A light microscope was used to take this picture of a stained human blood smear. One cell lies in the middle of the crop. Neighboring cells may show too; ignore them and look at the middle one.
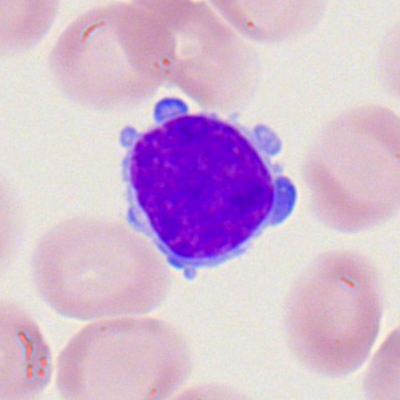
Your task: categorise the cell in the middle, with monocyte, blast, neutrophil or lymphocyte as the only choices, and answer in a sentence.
The cell of interest, located centrally, is a lymphocyte.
